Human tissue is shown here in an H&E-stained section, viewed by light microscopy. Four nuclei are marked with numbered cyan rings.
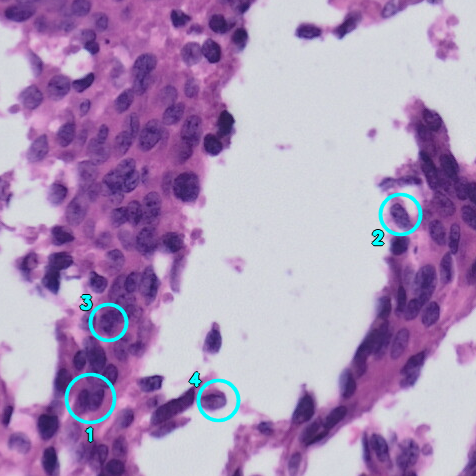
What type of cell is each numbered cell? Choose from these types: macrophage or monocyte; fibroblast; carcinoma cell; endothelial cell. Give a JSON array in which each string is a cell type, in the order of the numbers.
["carcinoma cell", "macrophage or monocyte", "carcinoma cell", "carcinoma cell"]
